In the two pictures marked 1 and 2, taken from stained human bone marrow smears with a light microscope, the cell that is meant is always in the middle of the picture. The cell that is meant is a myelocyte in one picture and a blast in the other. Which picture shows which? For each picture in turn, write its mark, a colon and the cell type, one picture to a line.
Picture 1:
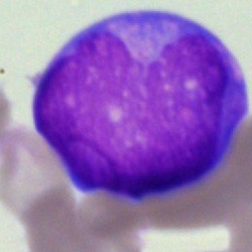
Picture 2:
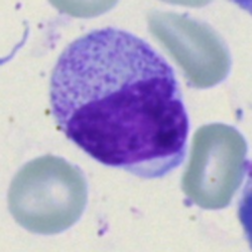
1: blast
2: myelocyte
